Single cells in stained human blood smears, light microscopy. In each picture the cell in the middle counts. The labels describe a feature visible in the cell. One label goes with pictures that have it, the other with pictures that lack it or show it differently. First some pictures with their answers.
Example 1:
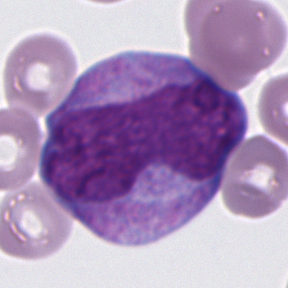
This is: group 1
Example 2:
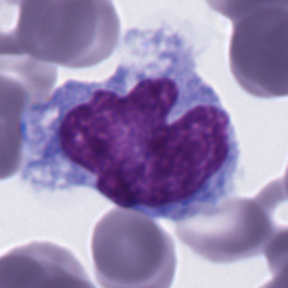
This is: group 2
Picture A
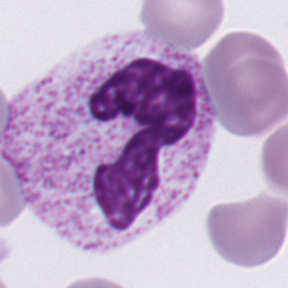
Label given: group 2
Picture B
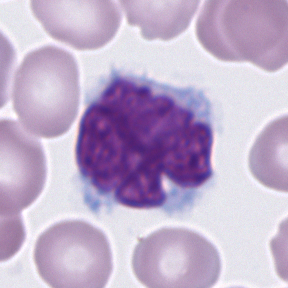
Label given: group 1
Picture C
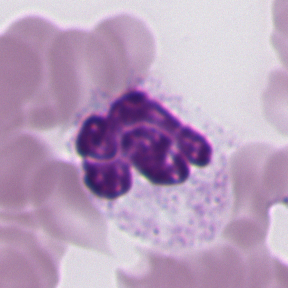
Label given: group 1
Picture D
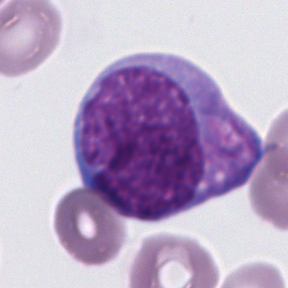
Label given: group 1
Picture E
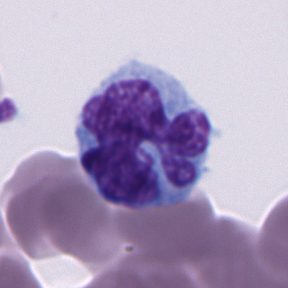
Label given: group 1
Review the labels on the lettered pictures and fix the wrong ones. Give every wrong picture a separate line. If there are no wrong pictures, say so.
A: not group 2 but group 1
D: not group 1 but group 2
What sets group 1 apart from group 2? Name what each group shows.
Seen in group 1: no vacuoles; seen in group 2: vacuoles present.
